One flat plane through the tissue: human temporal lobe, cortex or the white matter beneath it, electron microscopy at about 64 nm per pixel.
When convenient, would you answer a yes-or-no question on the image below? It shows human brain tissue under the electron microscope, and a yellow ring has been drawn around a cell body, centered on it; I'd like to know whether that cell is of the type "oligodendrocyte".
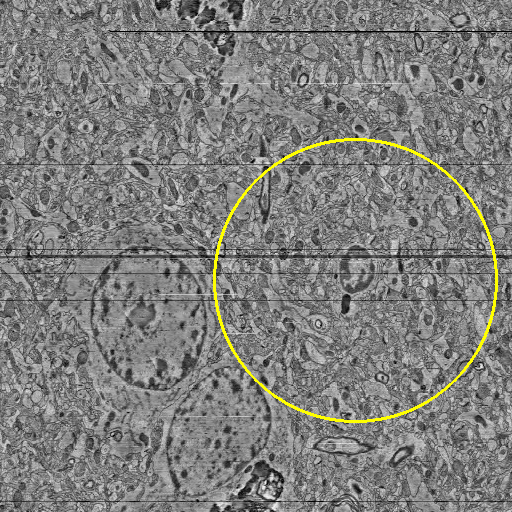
no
